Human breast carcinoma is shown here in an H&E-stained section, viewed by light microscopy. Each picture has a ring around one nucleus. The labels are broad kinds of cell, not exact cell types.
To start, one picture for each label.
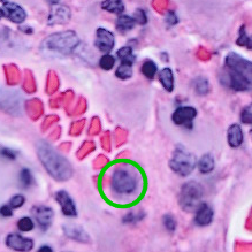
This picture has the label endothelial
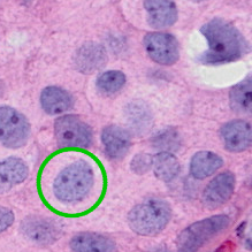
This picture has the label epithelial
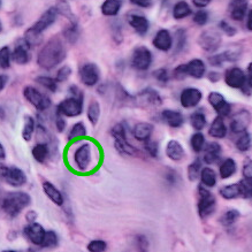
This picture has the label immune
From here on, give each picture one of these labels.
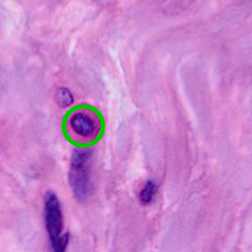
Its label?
immune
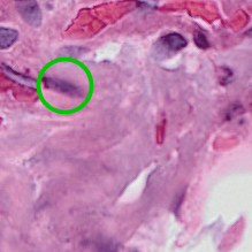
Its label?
endothelial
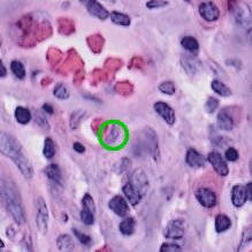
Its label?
endothelial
